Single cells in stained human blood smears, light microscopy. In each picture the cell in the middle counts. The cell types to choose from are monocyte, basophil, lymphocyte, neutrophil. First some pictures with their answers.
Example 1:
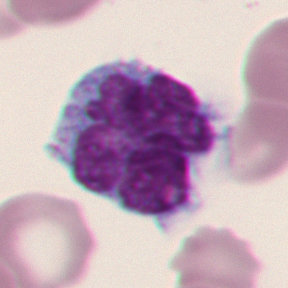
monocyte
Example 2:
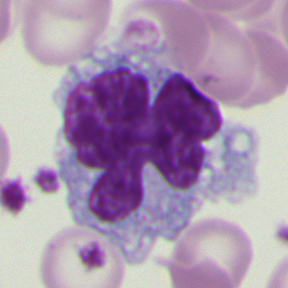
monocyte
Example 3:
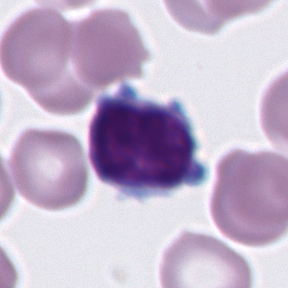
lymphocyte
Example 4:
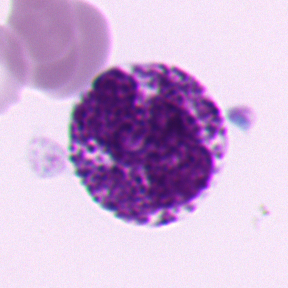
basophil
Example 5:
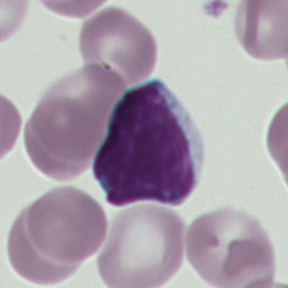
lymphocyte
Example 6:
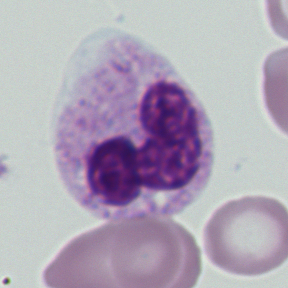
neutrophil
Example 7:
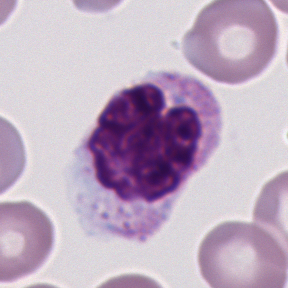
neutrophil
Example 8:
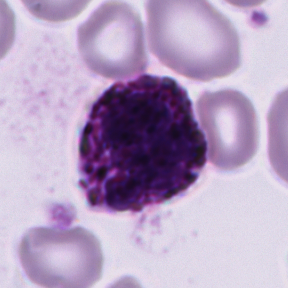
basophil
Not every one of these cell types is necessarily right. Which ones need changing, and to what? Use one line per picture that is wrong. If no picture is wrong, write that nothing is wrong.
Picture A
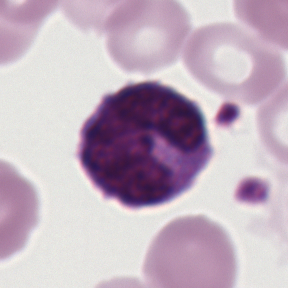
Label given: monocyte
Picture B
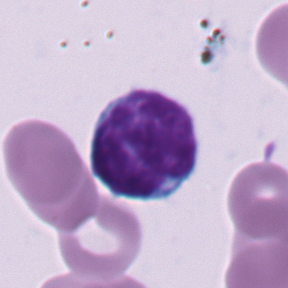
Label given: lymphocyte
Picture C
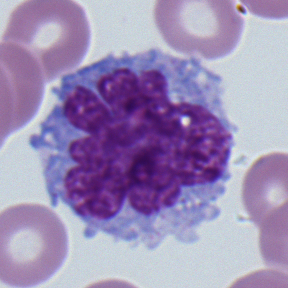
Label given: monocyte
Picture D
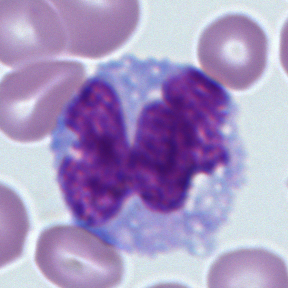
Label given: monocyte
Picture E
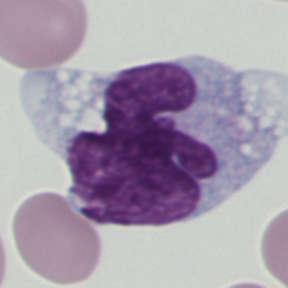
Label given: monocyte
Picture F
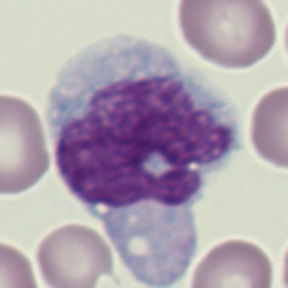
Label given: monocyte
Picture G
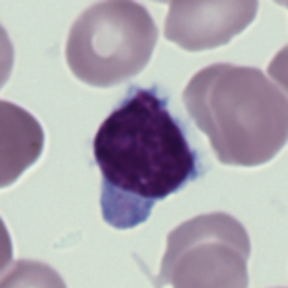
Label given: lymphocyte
Every label is right.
